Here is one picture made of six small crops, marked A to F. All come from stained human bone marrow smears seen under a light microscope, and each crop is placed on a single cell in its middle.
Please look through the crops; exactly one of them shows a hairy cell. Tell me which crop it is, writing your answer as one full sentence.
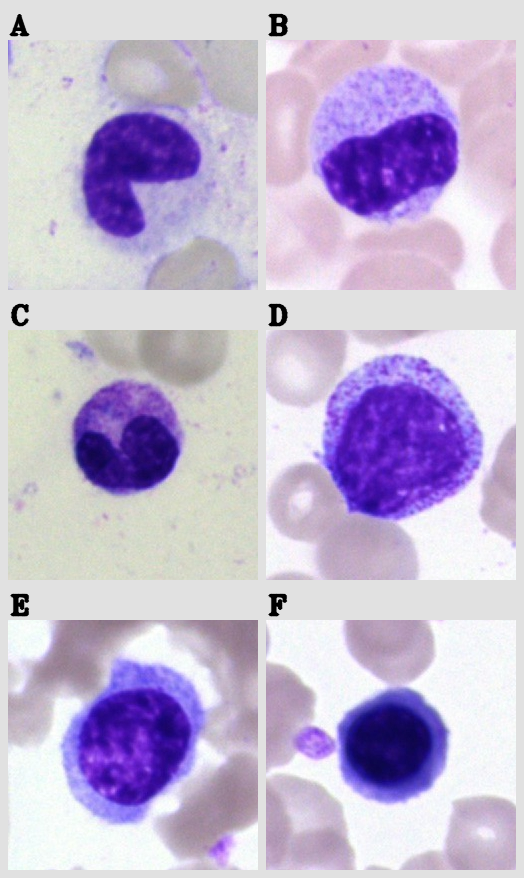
Of the crops shown, crop E depicts a hairy cell.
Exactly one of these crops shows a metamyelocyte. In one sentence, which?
Among the crops, only crop B contains a metamyelocyte.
